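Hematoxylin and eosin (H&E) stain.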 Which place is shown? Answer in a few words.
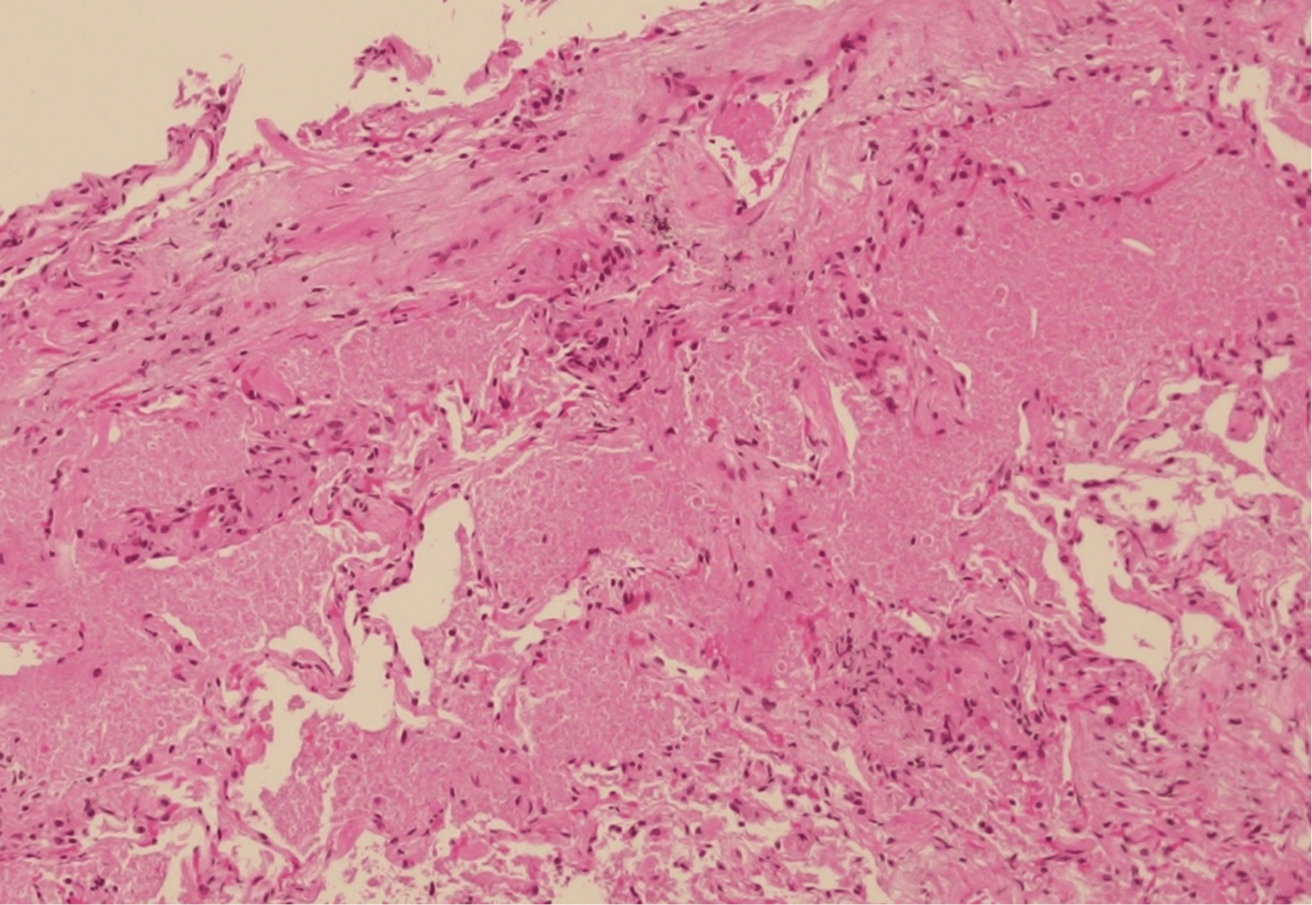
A: alveolar spaces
